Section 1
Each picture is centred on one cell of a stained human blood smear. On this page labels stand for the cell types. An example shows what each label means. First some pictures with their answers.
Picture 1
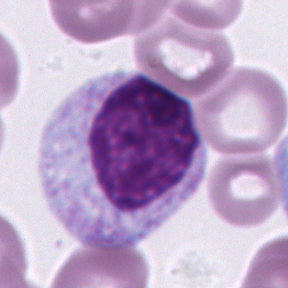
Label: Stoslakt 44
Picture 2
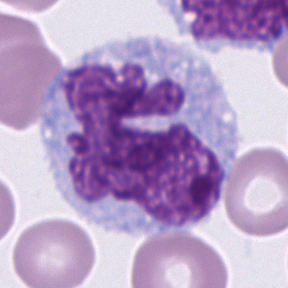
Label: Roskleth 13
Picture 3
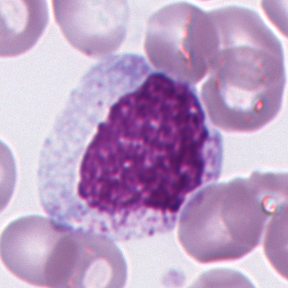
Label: Stoslakt 44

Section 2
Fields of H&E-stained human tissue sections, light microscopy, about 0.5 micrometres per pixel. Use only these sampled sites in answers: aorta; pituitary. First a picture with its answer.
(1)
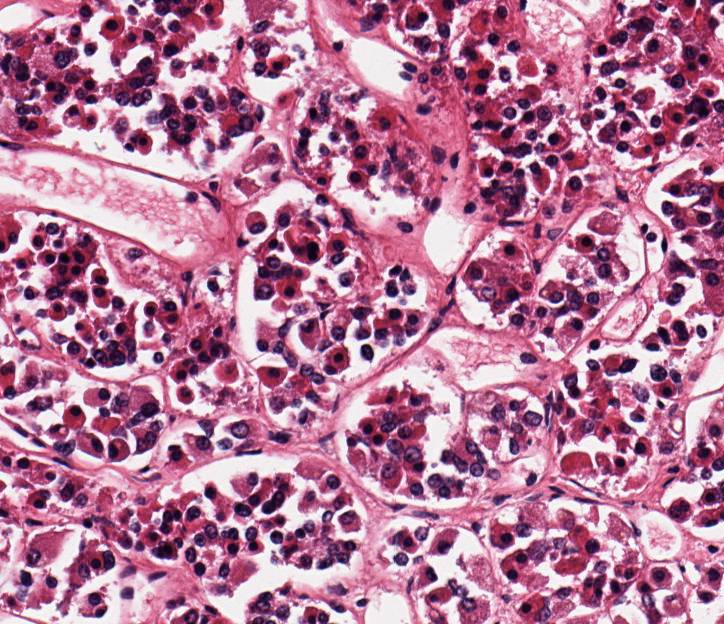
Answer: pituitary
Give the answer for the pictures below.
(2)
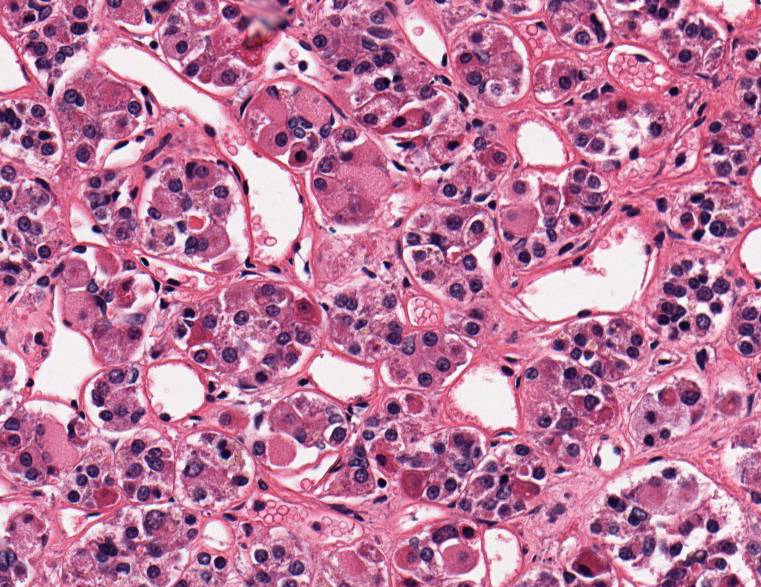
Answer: pituitary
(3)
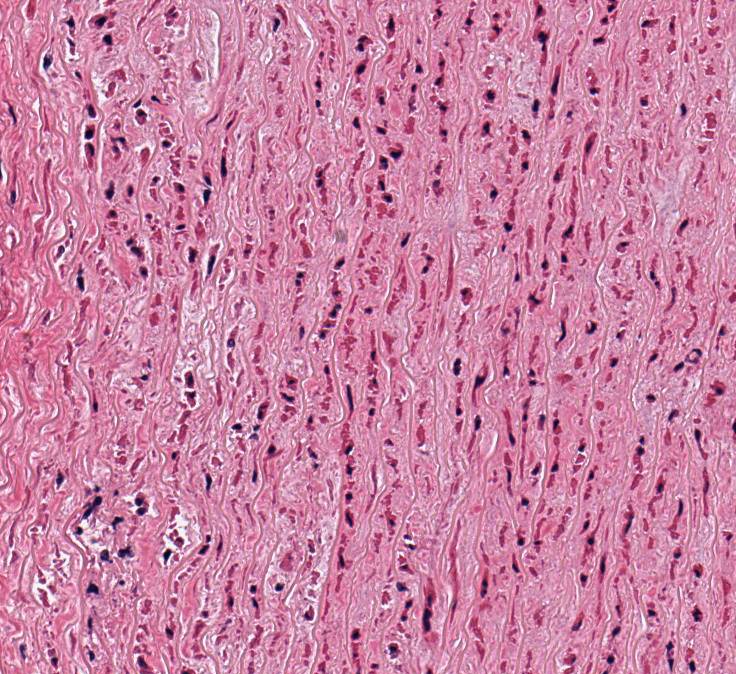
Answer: aorta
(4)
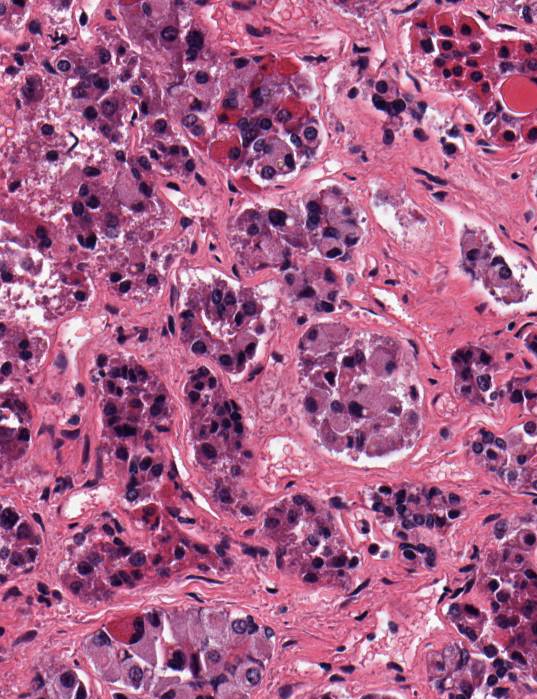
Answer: pituitary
